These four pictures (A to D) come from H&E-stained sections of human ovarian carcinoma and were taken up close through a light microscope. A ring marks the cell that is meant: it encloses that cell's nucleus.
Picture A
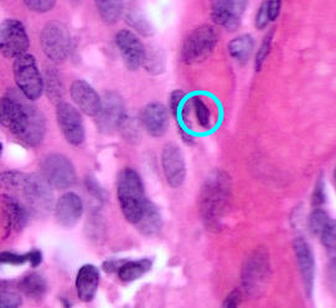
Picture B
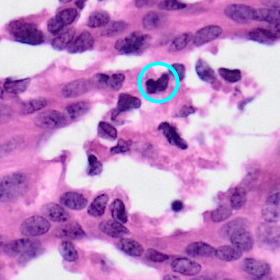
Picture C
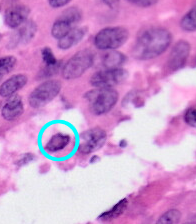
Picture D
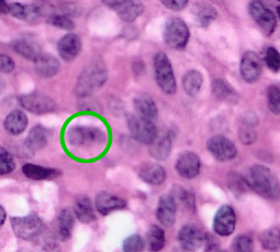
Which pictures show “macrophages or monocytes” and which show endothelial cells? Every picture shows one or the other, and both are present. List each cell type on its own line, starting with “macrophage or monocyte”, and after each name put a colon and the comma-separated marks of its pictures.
macrophage or monocyte: B, C, D
endothelial cell: A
